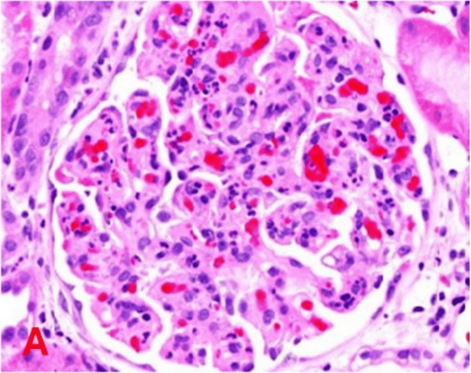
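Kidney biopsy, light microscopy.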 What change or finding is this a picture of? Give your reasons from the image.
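The tuft is crowded with many small dark nuclei throughout. Capillary loops are filled with cells besides the bright red blood cells.
Hence: diffuse tuft inflammation.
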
